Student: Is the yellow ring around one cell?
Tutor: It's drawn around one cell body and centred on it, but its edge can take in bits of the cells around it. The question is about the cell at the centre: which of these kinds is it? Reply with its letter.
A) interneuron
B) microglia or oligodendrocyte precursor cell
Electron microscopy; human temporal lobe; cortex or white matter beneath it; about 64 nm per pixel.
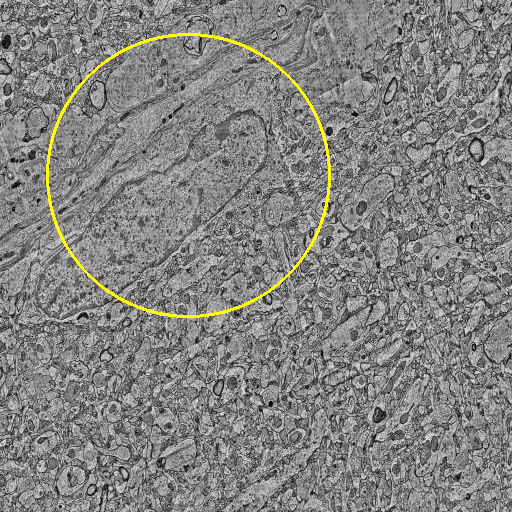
B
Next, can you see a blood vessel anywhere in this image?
Yes, there is a blood vessel in the image.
